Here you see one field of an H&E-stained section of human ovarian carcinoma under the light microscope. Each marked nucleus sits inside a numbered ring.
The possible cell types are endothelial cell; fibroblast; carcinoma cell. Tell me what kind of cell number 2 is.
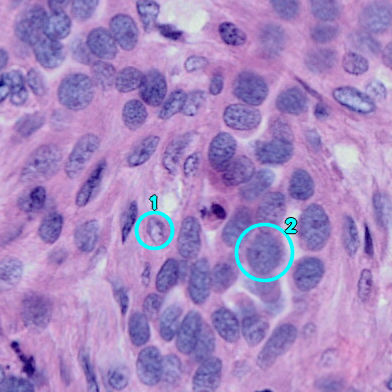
carcinoma cell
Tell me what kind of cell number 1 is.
fibroblast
